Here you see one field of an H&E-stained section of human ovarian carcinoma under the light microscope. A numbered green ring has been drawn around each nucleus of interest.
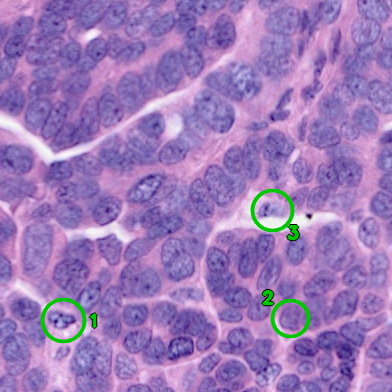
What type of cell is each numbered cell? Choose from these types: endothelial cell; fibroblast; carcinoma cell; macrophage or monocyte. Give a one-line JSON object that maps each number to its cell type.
{"1": "macrophage or monocyte", "2": "carcinoma cell", "3": "macrophage or monocyte"}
